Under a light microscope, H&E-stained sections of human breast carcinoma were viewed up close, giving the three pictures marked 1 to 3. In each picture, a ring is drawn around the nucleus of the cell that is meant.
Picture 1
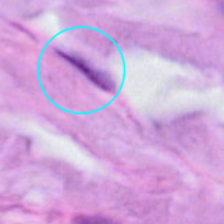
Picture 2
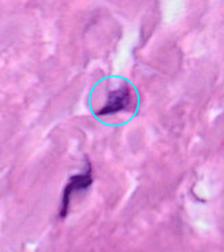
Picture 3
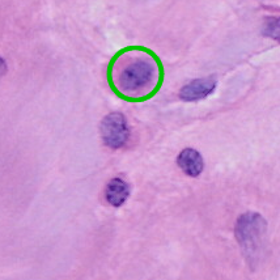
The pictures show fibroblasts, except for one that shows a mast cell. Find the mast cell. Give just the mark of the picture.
3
